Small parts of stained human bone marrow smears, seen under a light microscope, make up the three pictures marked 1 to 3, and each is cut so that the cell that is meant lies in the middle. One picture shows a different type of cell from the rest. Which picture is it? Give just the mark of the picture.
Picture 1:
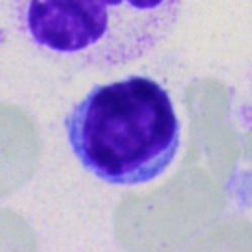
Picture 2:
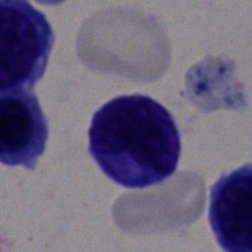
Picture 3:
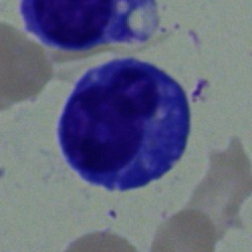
3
